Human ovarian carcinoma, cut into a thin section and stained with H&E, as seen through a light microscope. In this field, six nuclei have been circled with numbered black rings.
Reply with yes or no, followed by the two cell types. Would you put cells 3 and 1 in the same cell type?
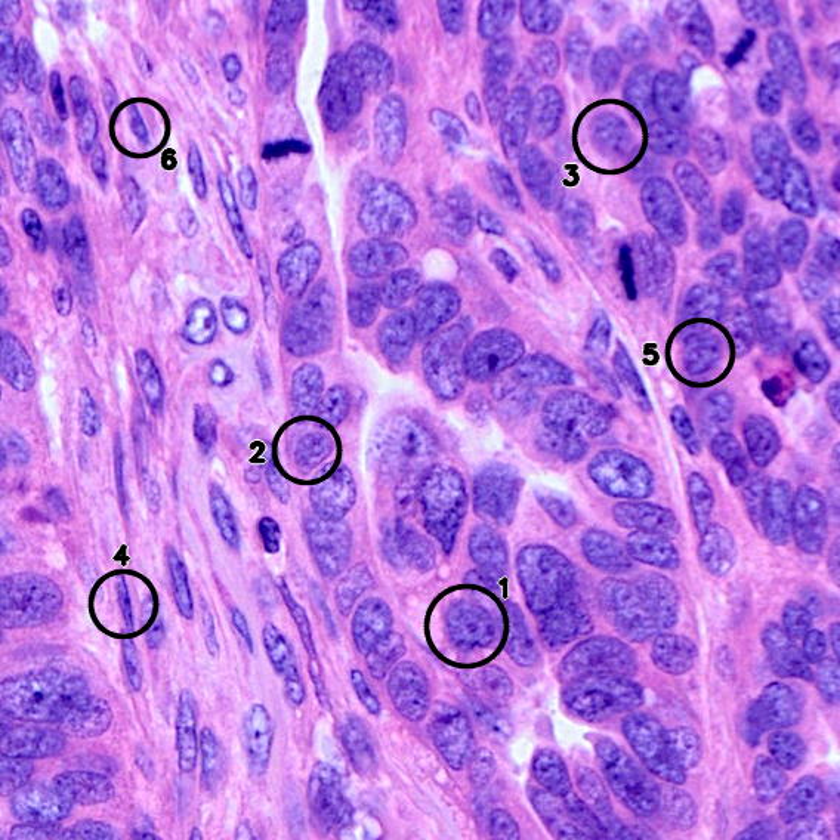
Yes, cells 3 and 1 are both recognised as carcinoma cells.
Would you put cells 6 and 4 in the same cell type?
Yes, cell 6 is among the fibroblasts, and cell 4 is as well.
